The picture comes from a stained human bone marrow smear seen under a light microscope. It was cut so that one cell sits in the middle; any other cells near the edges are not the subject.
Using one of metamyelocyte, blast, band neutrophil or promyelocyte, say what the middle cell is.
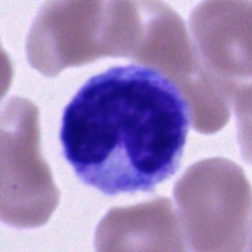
metamyelocyte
